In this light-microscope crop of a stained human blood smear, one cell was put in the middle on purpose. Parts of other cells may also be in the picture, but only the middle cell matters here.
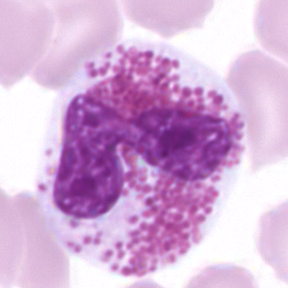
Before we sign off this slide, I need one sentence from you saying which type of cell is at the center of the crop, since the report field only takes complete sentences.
What sits at the centre of this crop is an eosinophil.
